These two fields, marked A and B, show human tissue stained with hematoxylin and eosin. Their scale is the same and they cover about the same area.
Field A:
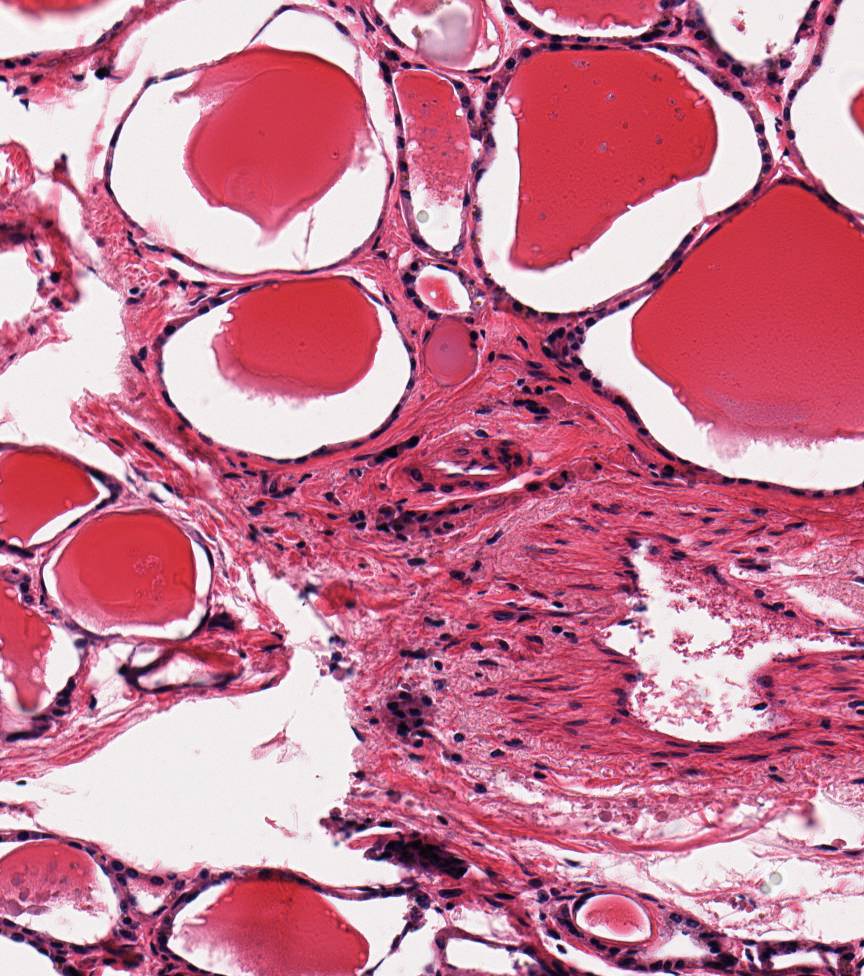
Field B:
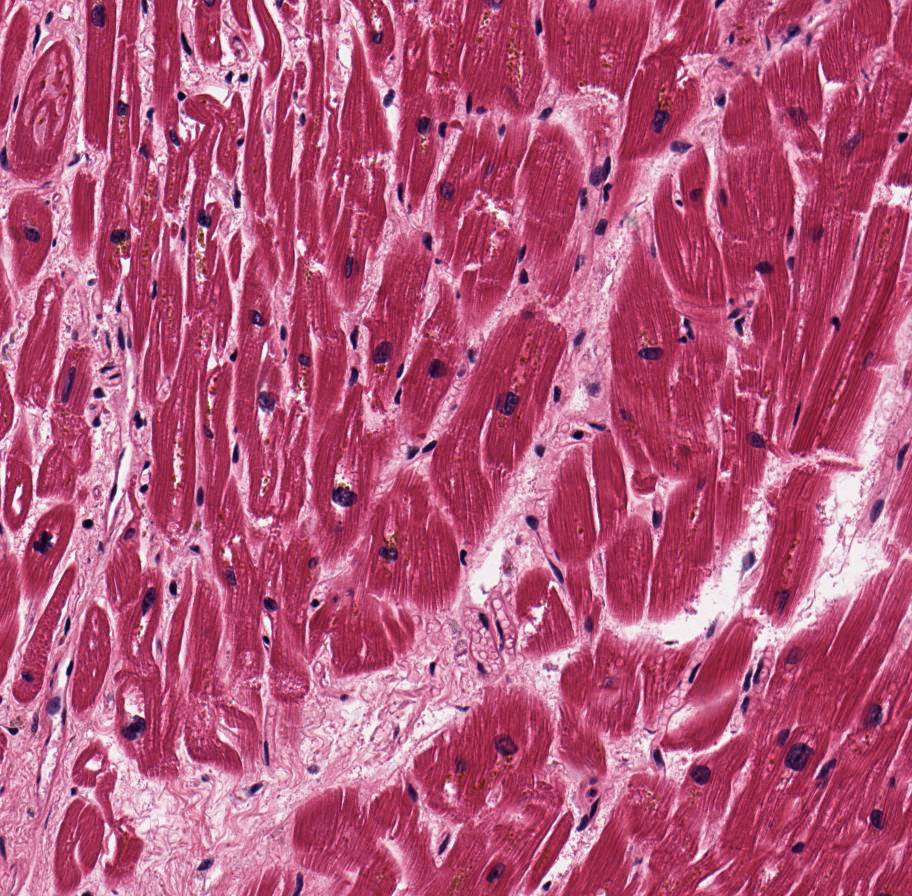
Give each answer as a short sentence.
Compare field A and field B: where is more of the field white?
It is field A in which white space covers the larger part.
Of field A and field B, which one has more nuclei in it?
It is field A that has more nuclei in it.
